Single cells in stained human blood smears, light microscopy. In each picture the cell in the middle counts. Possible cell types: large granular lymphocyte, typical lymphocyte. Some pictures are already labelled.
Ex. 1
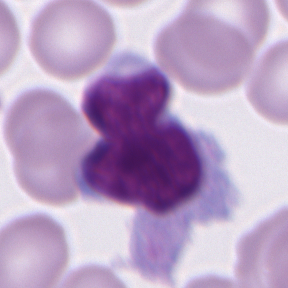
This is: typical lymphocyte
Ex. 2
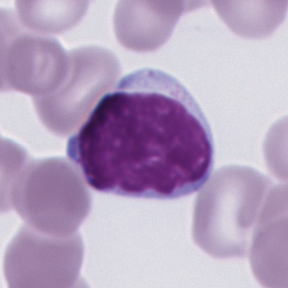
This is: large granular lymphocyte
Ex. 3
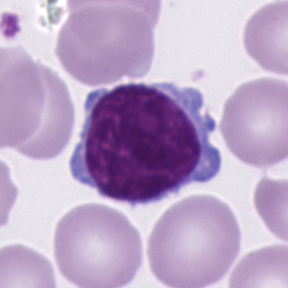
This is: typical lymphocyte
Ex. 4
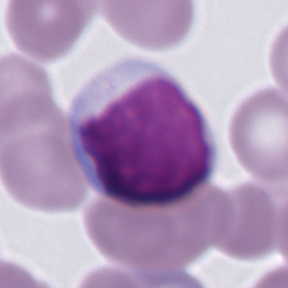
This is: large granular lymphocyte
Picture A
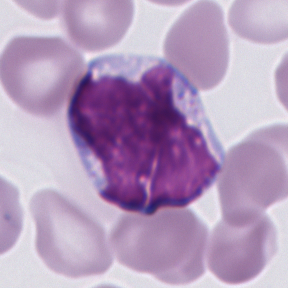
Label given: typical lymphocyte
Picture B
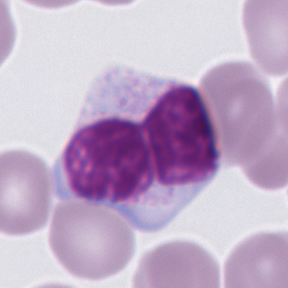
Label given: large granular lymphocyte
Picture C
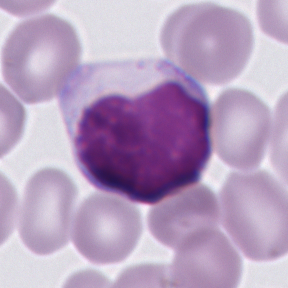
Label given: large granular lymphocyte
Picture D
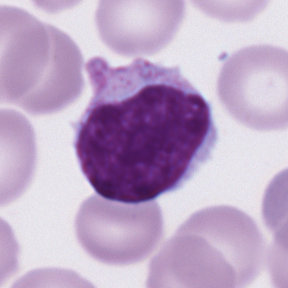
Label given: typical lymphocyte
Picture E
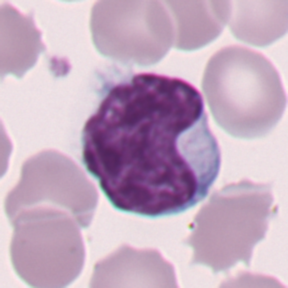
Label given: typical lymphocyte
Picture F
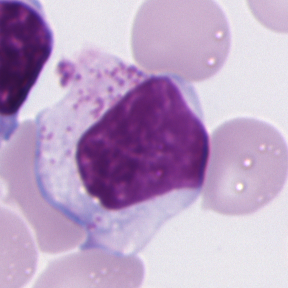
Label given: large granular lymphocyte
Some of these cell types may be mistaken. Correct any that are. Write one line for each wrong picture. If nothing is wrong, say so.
A: change typical lymphocyte to large granular lymphocyte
